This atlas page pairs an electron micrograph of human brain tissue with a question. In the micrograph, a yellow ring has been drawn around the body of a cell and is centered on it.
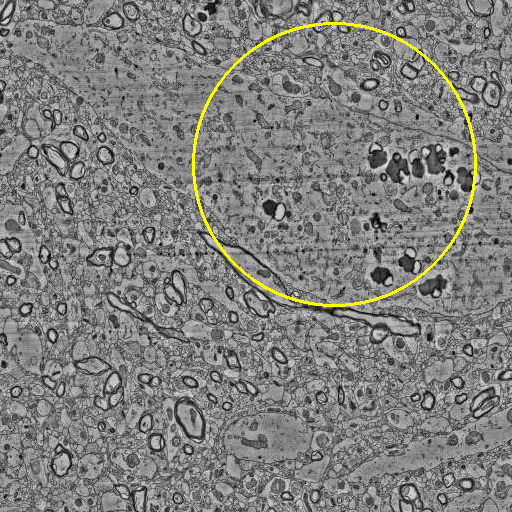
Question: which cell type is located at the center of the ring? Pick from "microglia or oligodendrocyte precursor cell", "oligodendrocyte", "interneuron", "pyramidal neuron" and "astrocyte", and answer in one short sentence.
Located at the center of the ring is an oligodendrocyte.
